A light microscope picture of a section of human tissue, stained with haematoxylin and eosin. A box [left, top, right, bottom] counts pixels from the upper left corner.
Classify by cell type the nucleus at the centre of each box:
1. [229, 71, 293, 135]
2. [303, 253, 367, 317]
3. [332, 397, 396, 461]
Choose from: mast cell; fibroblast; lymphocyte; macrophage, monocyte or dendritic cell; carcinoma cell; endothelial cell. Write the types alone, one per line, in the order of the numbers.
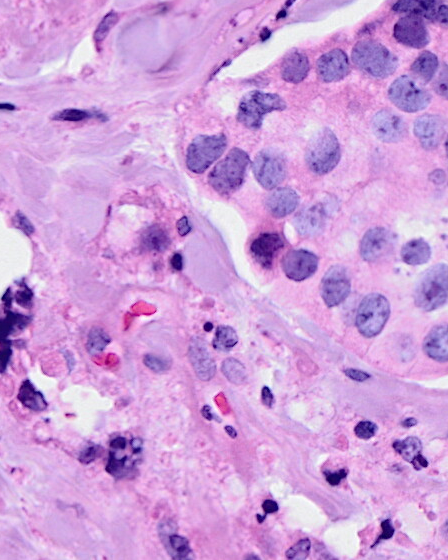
carcinoma cell
carcinoma cell
lymphocyte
